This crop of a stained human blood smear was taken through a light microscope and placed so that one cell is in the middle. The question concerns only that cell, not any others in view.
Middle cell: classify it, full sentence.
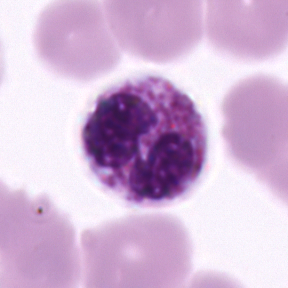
The centrally located cell in the crop is an eosinophil.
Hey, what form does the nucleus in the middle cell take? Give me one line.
Counting the nuclear lobes gives a total of at least two.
